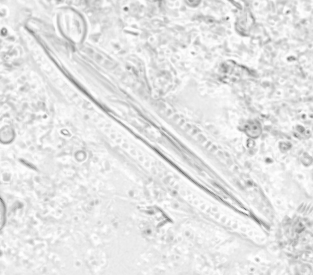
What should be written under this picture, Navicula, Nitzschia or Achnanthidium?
Nitzschia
